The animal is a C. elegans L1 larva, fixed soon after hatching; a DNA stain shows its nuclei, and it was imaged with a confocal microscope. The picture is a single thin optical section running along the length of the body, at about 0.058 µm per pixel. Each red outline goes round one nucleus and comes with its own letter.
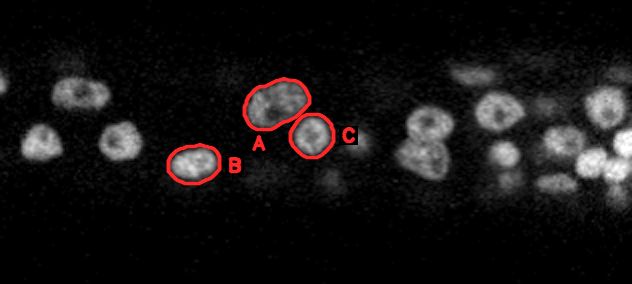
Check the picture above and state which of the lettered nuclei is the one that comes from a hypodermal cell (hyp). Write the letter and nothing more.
A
